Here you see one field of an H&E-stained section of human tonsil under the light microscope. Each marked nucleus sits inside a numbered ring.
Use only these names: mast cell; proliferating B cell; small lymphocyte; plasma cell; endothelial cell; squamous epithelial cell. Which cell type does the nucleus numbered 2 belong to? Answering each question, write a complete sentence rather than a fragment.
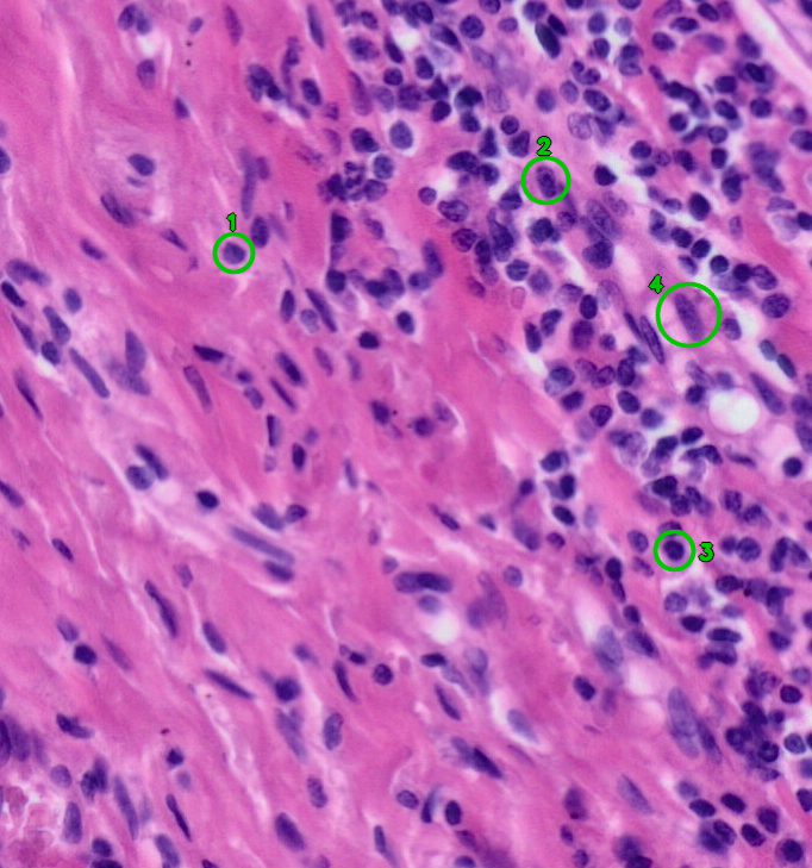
At number 2, the marked cell is an endothelial cell.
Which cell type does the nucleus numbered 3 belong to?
The nucleus with number 3 is that of a plasma cell.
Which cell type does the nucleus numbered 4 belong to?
Nucleus 4 in this section belongs to an endothelial cell.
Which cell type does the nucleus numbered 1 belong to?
In the marked set, the cell given number 1 is a mast cell.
